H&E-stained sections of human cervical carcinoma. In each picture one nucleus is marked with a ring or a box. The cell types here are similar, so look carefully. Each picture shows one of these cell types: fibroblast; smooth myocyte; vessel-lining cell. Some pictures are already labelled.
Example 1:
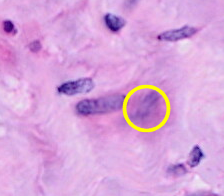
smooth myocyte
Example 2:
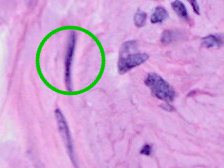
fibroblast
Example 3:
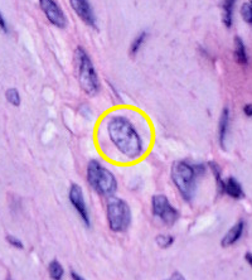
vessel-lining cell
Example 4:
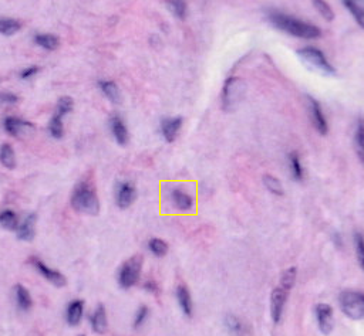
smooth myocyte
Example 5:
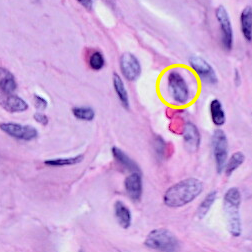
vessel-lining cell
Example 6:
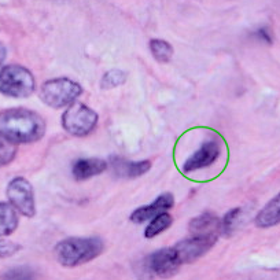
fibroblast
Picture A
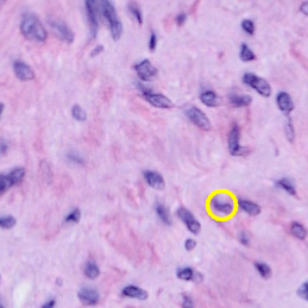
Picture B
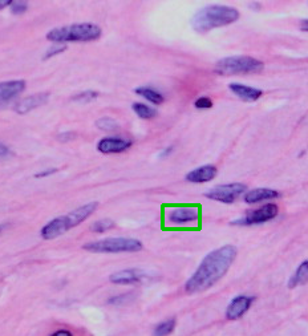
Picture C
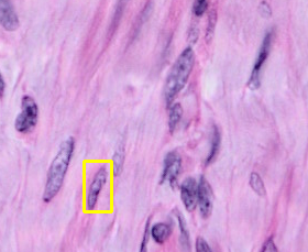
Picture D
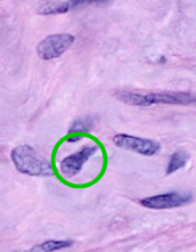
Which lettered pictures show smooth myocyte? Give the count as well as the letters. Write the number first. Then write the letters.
2, namely A, C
